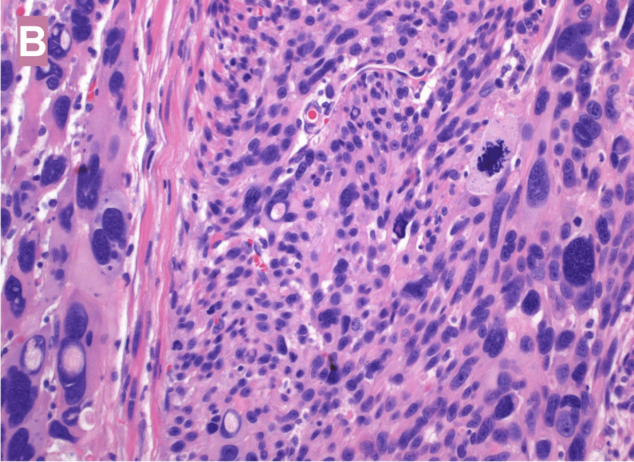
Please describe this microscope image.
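This tumor is made of densely packed spindle to plump cells with pink cytoplasm, and their nuclei vary strikingly in size and shape, from small oval ones to very large, dark, irregular nuclei, some cells holding more than one. Several of the large nuclei on the left contain round clear spaces, giving them a vacuolated look. Dividing cells are present, including one with a clumped, dark, irregular mass of chromosomes in a large pale cell at upper right. A thin band of pink fibrous tissue runs vertically near the left edge between groups of tumor cells.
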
